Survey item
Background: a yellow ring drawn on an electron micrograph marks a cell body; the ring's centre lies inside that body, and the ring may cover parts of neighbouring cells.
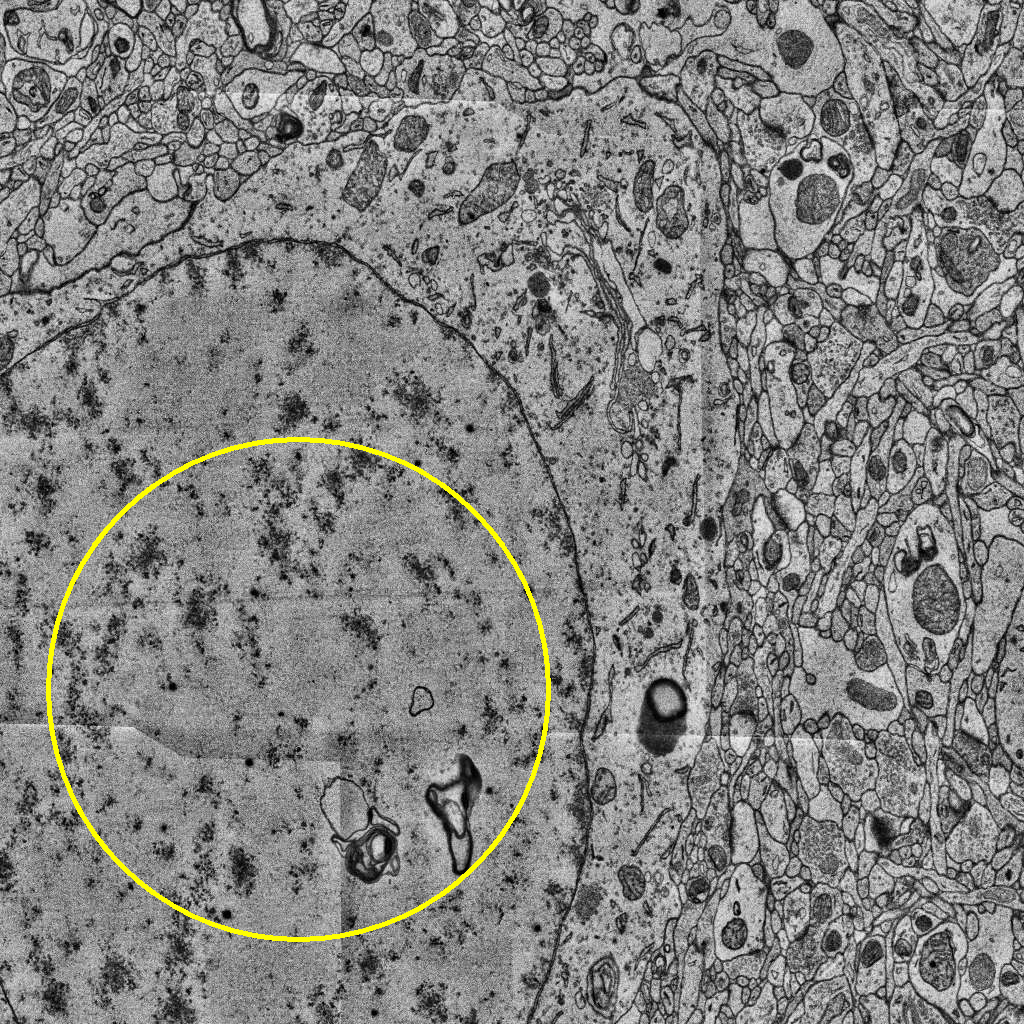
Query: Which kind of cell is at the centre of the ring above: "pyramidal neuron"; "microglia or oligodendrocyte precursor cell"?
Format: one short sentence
The cell in the middle of the ring is a pyramidal neuron.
